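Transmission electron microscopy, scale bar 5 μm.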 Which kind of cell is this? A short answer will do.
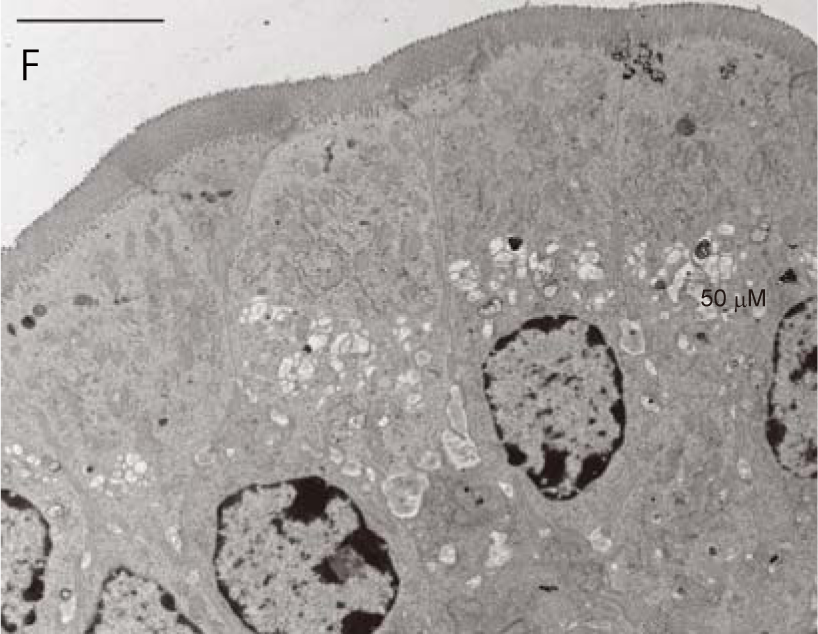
Enterocytes.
